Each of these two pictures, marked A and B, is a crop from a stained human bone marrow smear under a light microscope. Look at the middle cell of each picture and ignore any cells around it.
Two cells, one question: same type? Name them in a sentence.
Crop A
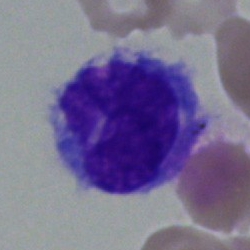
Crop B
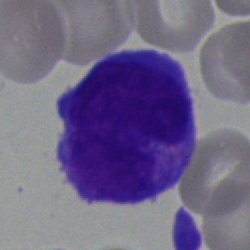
No, the cell at the middle of crop A is a monocyte, while crop B centres on a blast.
